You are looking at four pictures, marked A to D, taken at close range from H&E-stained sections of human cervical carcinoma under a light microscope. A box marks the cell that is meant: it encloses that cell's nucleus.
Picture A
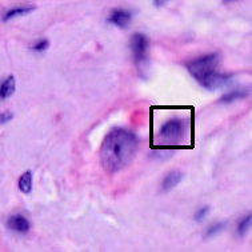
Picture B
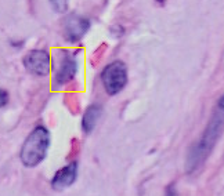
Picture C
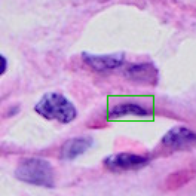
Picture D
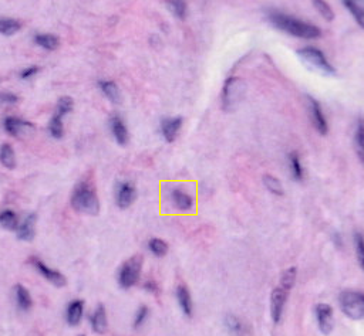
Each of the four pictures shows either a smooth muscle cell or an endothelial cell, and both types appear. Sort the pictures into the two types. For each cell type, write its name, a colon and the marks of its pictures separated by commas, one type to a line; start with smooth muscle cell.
smooth muscle cell: D
endothelial cell: A, B, C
